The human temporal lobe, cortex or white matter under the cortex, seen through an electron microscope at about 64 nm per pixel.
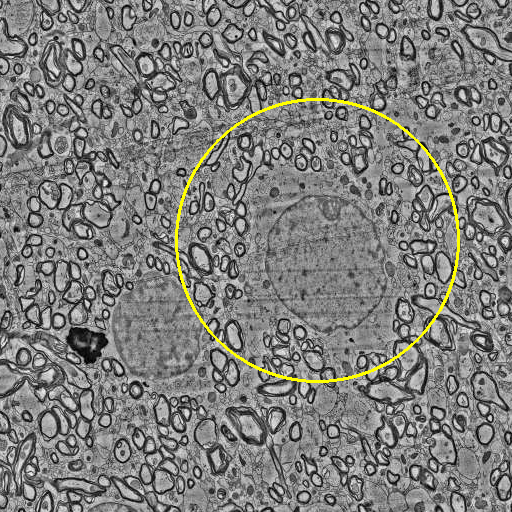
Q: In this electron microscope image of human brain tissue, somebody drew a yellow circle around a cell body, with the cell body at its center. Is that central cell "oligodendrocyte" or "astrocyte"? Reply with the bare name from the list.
astrocyte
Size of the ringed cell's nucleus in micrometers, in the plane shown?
The nucleus of the ringed cell is approximately 9 by 8 micrometres in this plane.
